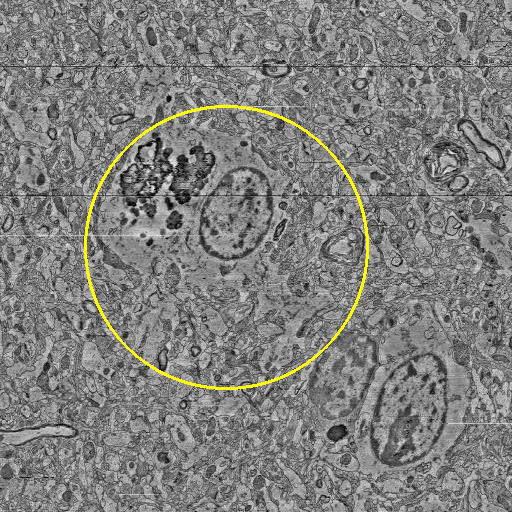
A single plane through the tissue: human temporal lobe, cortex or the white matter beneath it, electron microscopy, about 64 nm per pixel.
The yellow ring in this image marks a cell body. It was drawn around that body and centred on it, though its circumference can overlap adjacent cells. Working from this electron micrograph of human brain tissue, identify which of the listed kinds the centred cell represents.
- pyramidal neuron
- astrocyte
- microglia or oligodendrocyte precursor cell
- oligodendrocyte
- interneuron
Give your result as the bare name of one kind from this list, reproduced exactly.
astrocyte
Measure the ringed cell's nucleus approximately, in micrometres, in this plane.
In this plane the nucleus is about 6 micrometres by 4.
